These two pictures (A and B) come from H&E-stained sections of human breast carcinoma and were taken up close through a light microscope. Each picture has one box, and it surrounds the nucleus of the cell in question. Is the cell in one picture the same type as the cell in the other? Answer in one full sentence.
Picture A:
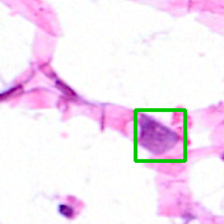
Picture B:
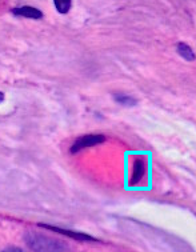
Yes; the cells in both pictures are endothelial cells.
